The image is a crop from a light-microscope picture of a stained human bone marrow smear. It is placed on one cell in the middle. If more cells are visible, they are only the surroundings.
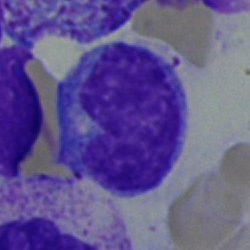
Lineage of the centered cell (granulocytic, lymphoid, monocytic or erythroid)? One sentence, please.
The cell in the middle of the crop is considered part of the monocytic lineage.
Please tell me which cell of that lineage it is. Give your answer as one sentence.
The cell featured at the centre of this crop is a monocyte.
